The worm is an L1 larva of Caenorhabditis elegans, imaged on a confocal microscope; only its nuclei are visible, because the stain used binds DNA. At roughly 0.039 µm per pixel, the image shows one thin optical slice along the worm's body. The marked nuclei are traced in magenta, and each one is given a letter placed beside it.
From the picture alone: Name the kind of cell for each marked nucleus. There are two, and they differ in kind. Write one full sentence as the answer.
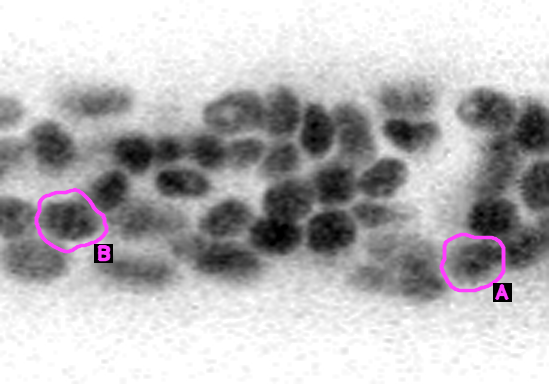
A is the nucleus of a neuron; B is the nucleus of an arcade cell.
